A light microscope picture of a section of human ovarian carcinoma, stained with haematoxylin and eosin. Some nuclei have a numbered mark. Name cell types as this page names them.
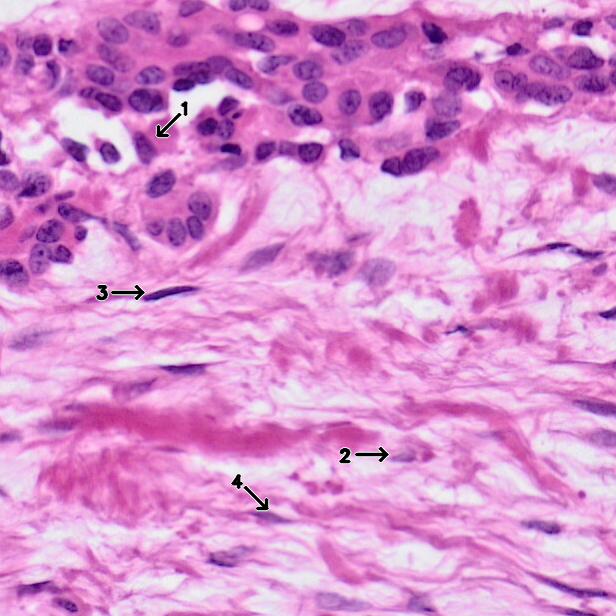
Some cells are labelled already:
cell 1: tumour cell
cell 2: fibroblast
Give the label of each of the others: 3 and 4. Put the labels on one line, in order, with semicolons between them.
fibroblast; fibroblast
